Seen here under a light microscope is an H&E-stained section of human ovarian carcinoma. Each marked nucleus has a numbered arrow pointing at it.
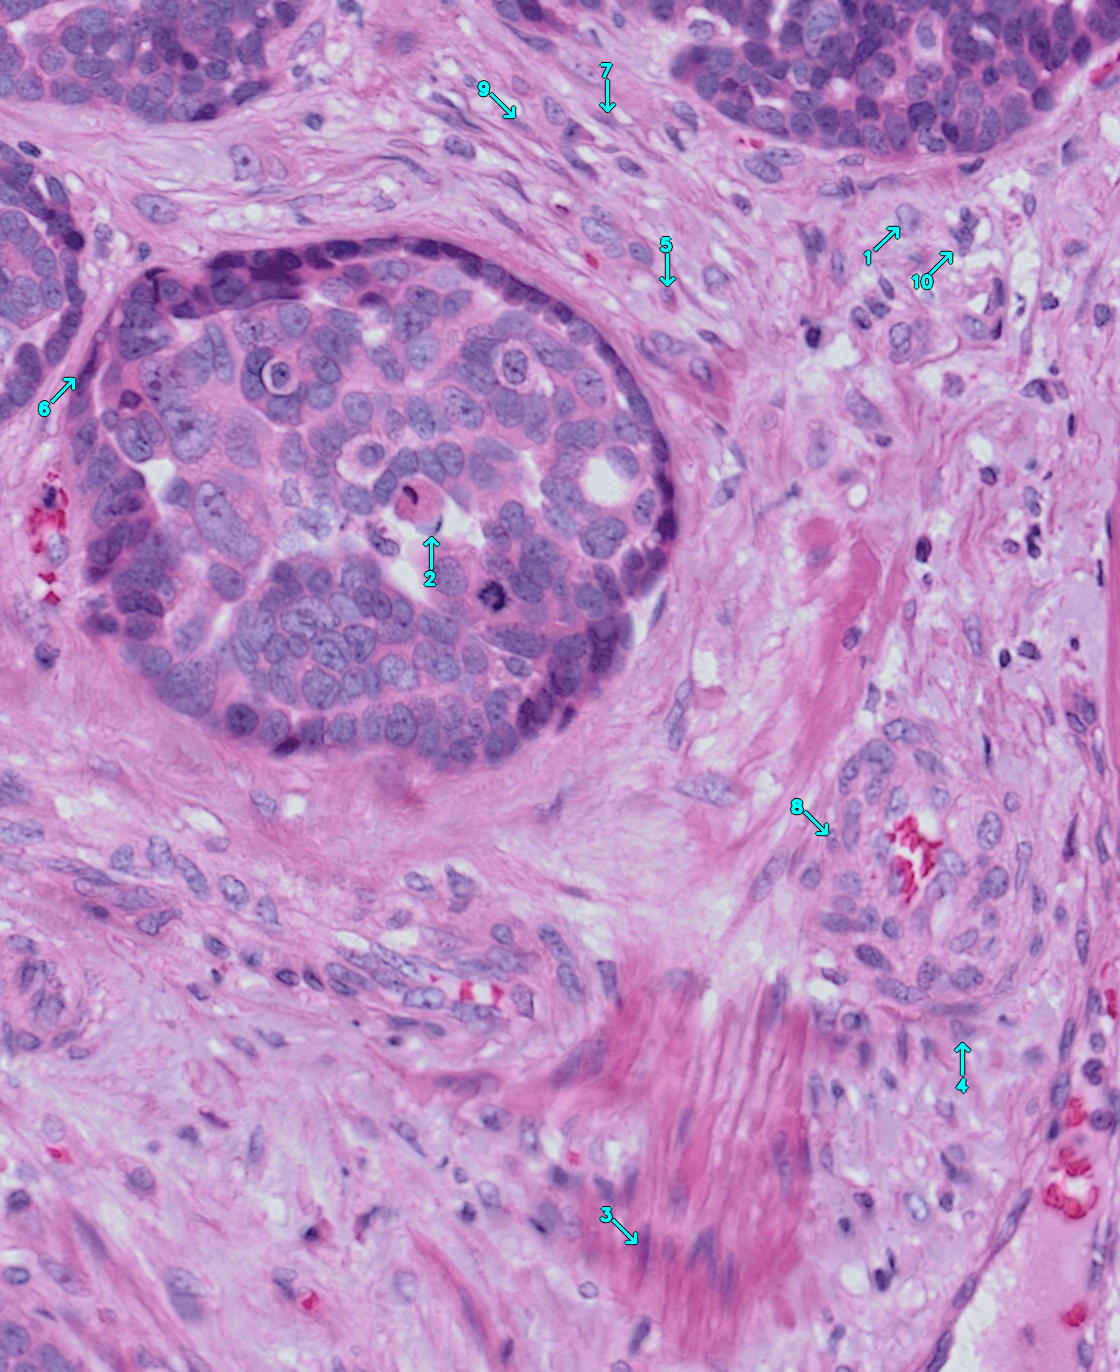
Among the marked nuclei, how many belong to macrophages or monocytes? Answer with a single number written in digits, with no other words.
2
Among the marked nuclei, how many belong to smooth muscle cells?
1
